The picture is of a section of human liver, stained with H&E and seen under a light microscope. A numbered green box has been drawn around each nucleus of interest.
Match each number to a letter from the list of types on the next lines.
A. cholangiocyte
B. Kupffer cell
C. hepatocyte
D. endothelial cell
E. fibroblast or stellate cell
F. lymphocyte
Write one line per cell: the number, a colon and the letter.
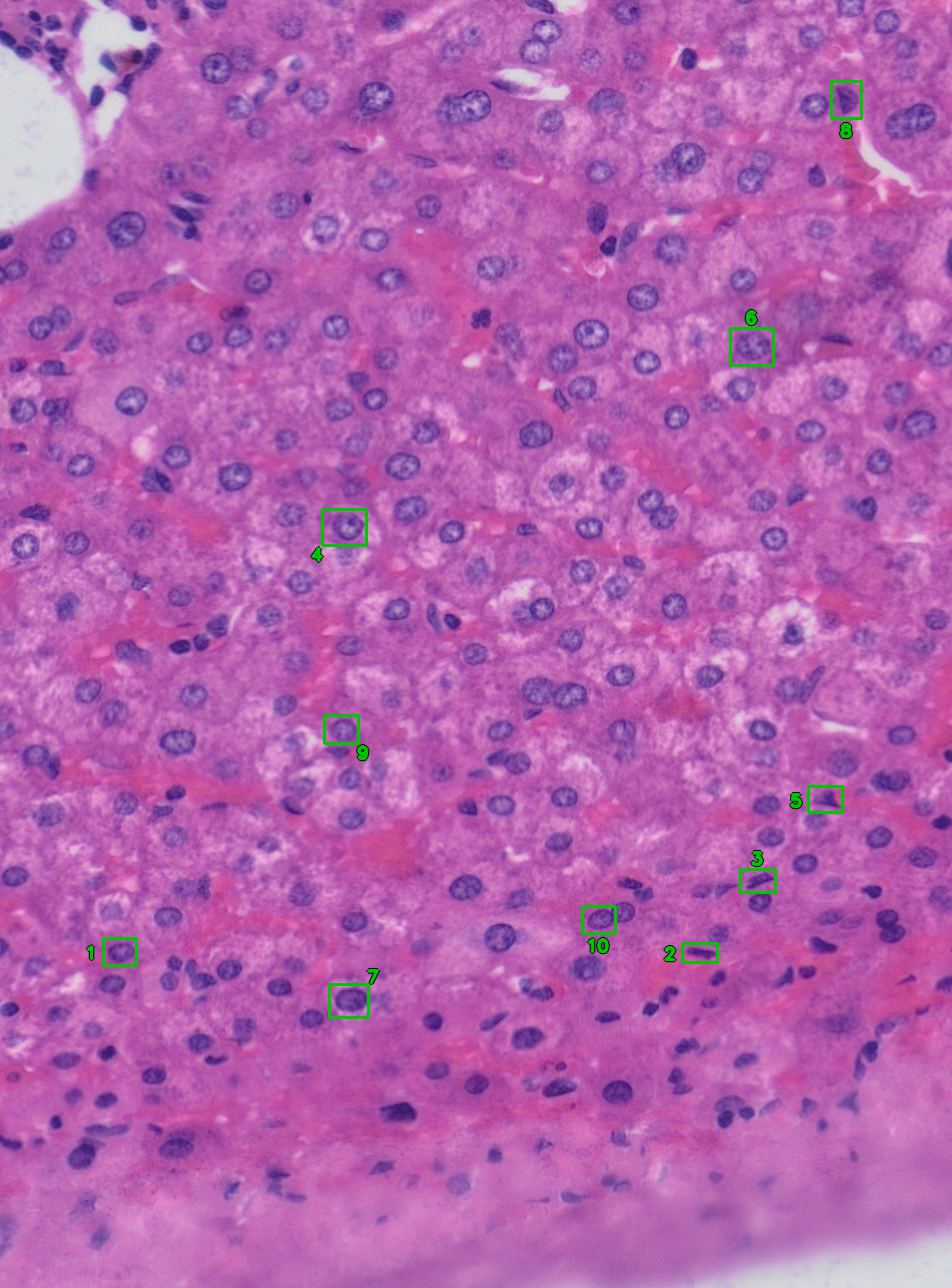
1: C
2: D
3: E
4: C
5: D
6: C
7: C
8: E
9: C
10: C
